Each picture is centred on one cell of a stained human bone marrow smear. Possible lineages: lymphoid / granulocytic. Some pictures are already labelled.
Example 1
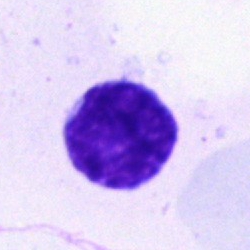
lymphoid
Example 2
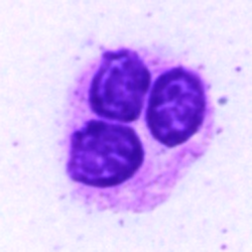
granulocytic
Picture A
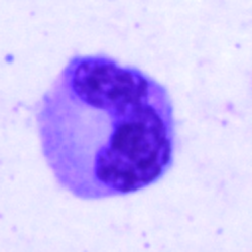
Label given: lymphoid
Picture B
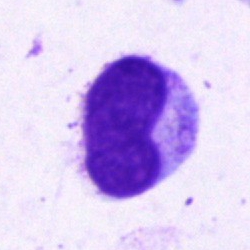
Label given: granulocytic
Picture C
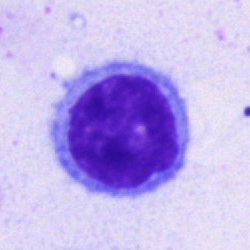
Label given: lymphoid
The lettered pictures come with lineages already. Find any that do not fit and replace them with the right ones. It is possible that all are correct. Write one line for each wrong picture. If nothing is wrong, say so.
A is labelled lymphoid; correct label: granulocytic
